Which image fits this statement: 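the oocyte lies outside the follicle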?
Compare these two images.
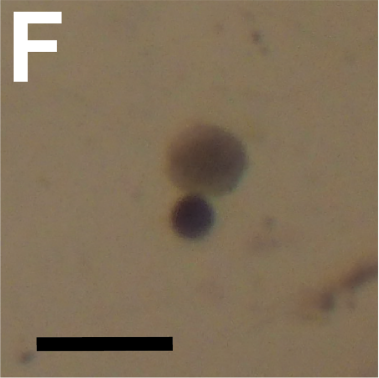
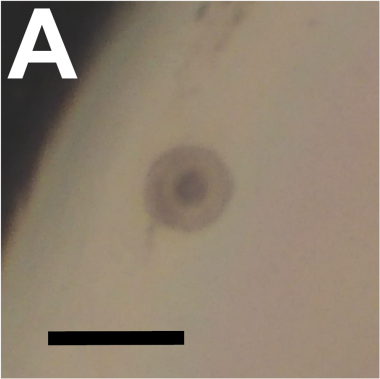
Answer: The first image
